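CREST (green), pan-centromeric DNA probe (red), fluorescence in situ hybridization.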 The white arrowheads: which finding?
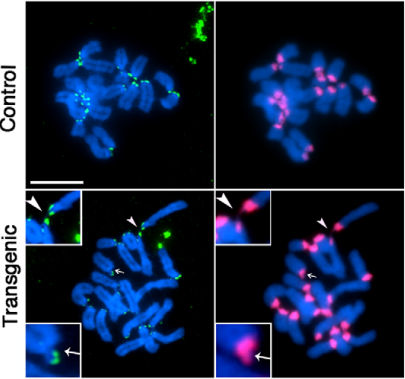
Excessive stretching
